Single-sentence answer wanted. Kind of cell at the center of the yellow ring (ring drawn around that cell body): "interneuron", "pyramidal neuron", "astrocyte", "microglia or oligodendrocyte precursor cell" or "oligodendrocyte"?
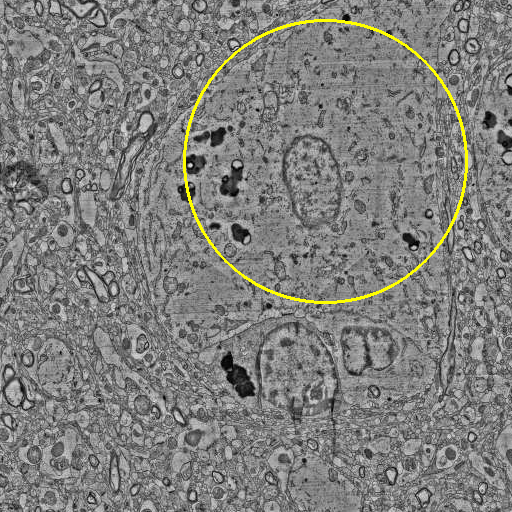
The cell centered in the ring is a pyramidal neuron.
